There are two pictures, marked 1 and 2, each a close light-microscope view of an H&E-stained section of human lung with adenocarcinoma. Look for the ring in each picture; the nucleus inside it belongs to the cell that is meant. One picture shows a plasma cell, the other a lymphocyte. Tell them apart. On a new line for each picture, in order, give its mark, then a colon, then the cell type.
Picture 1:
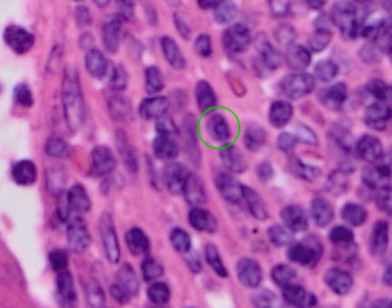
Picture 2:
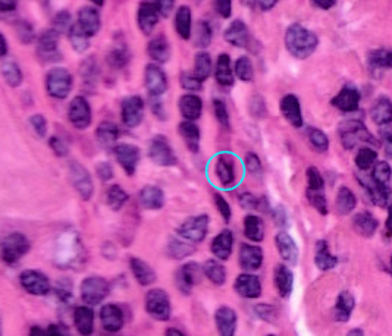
1: lymphocyte
2: plasma cell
